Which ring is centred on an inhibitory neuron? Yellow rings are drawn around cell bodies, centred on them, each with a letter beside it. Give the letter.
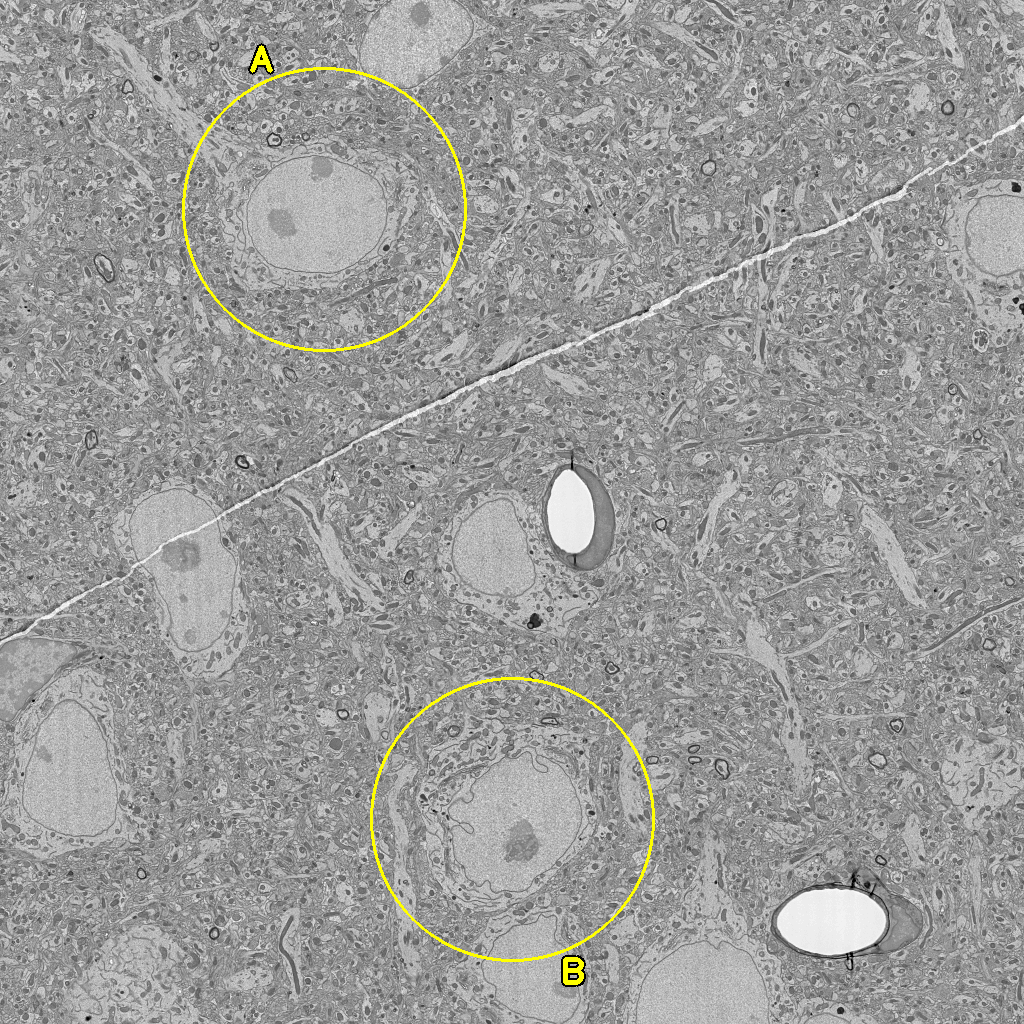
B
